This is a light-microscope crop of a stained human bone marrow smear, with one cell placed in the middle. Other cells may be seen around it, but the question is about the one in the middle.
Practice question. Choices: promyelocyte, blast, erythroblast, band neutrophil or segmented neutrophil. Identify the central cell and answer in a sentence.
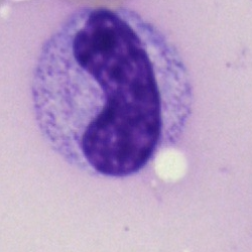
In this smear crop, the middle cell is a band neutrophil.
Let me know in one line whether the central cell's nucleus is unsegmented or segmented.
Round, oval or kidney-shaped, the nucleus is one compact mass.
